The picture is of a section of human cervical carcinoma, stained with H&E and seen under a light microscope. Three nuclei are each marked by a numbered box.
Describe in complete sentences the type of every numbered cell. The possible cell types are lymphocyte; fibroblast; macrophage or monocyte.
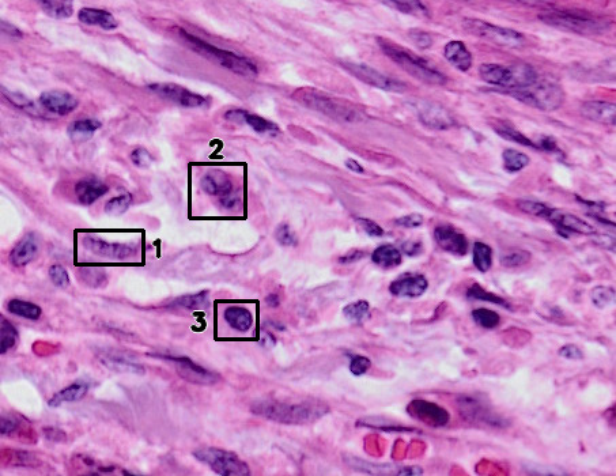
Cell 1 is a fibroblast. Cell 2 is a macrophage or monocyte. Cell 3 is a lymphocyte.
